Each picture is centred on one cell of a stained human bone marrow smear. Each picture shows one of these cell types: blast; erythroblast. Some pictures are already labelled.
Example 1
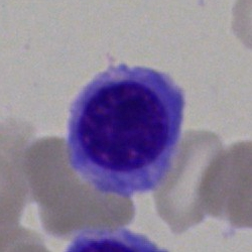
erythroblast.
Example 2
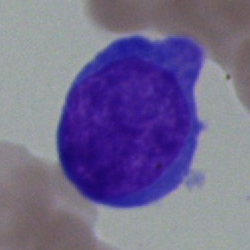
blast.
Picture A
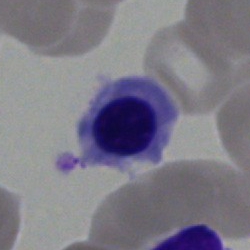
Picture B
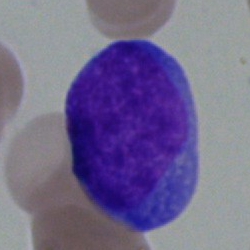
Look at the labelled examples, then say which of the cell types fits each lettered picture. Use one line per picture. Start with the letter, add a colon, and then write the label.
A: erythroblast.
B: blast.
